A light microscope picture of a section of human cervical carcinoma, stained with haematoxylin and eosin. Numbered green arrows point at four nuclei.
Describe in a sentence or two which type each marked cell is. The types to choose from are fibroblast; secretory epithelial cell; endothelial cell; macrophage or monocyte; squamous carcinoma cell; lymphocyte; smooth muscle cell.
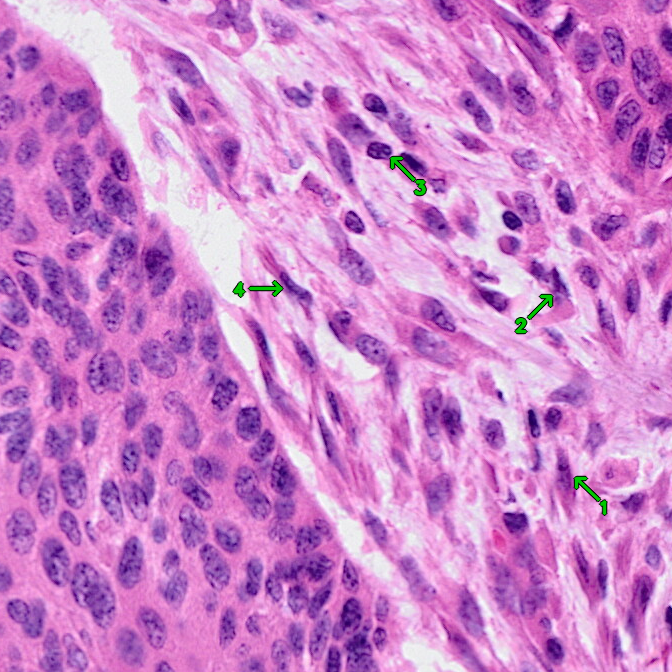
Cell 1 is a fibroblast, cell 2 is a fibroblast, cell 3 is a lymphocyte and cell 4 is a fibroblast.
